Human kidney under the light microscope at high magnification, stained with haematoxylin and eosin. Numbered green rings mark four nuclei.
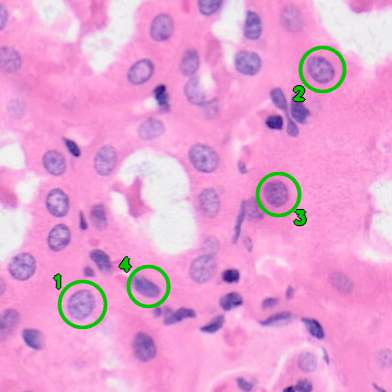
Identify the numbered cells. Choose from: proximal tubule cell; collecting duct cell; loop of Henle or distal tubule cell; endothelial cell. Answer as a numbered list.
1. proximal tubule cell
2. proximal tubule cell
3. proximal tubule cell
4. endothelial cell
